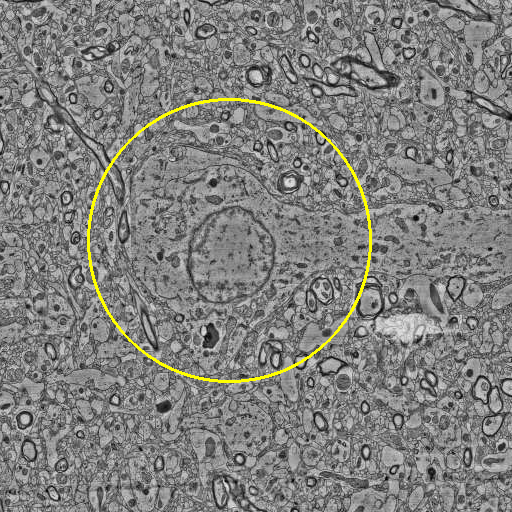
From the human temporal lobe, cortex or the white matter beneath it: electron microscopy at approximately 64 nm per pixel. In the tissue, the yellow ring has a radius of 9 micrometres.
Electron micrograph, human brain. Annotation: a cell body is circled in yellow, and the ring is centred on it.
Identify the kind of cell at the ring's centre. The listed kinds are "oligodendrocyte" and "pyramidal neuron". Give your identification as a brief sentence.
The circled cell body is that of a pyramidal neuron.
